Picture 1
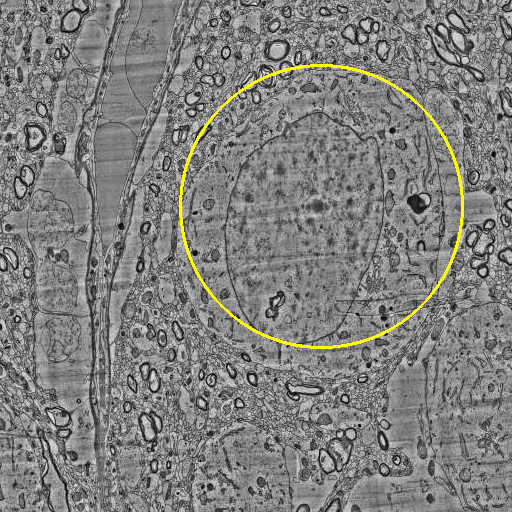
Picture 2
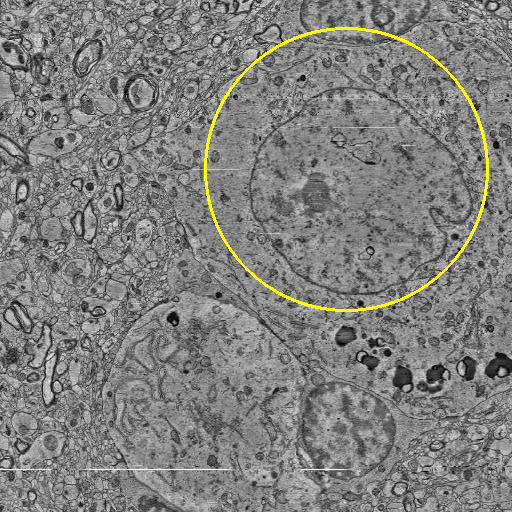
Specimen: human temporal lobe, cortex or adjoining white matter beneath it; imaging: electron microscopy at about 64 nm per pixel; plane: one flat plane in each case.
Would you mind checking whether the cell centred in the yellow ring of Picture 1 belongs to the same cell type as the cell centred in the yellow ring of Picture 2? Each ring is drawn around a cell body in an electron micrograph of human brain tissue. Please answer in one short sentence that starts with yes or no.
Yes, both cells are of the same type.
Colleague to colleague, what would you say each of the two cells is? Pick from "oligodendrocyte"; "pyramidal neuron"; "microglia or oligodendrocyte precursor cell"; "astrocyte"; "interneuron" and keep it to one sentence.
In the first picture and in the second, the ring is centred on a pyramidal neuron.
